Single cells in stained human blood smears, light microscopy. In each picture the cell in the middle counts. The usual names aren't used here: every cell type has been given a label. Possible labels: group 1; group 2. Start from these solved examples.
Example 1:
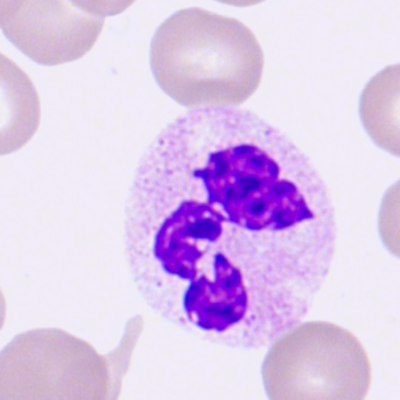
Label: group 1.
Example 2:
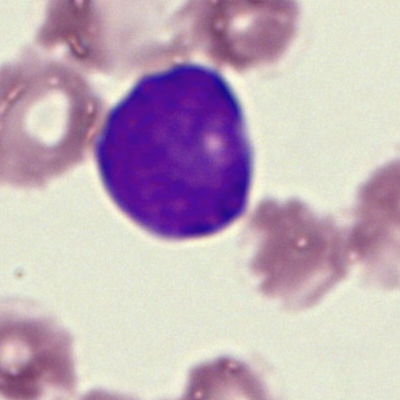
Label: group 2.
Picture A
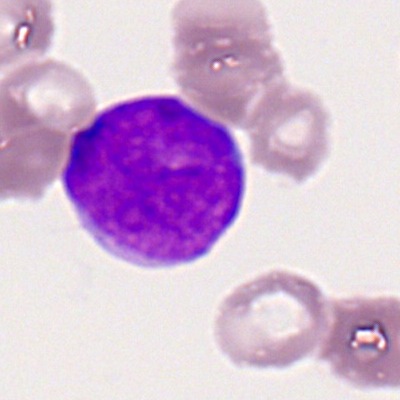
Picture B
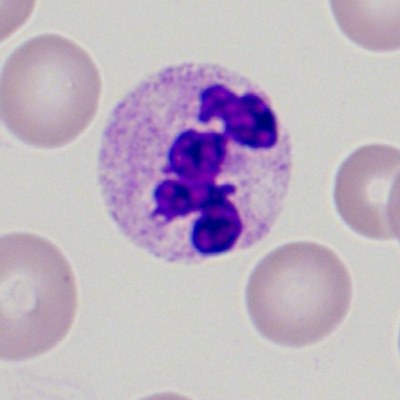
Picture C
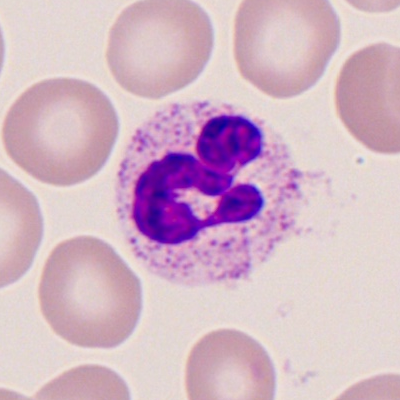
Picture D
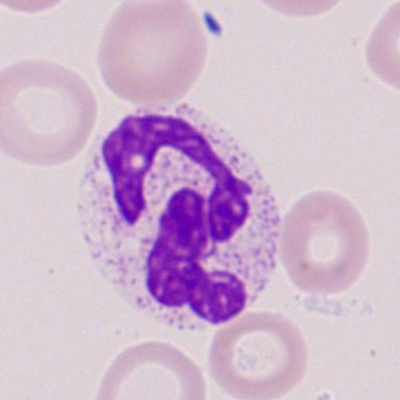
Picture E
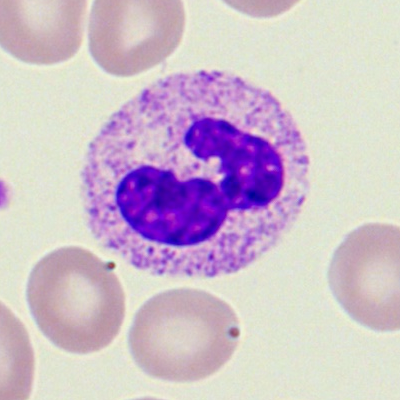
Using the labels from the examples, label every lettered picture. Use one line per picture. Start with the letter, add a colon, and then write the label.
A: group 2.
B: group 1.
C: group 1.
D: group 1.
E: group 1.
